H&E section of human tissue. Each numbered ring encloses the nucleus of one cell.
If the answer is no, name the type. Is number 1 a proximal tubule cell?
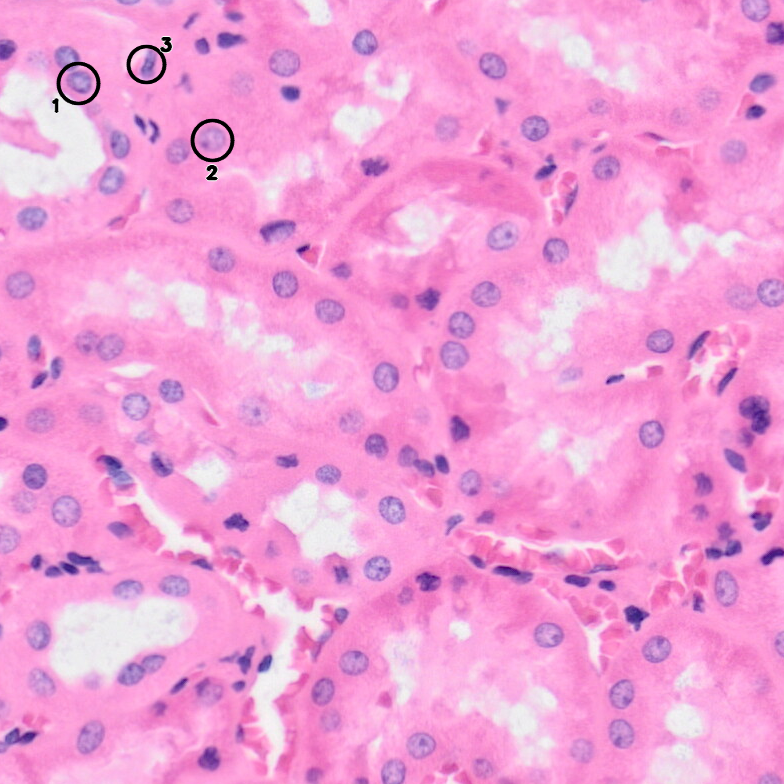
No, it is a loop of Henle or distal tubule cell.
